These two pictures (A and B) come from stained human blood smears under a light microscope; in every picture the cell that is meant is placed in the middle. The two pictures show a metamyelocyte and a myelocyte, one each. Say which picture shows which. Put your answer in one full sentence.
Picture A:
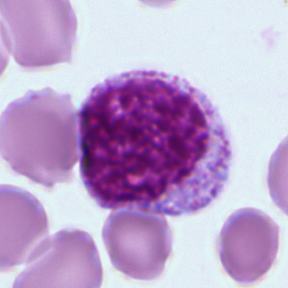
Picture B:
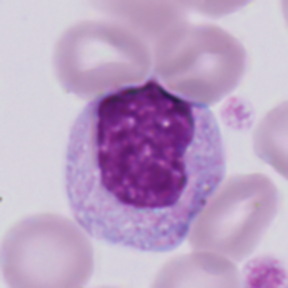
Picture B shows a myelocyte, while picture A shows a metamyelocyte.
